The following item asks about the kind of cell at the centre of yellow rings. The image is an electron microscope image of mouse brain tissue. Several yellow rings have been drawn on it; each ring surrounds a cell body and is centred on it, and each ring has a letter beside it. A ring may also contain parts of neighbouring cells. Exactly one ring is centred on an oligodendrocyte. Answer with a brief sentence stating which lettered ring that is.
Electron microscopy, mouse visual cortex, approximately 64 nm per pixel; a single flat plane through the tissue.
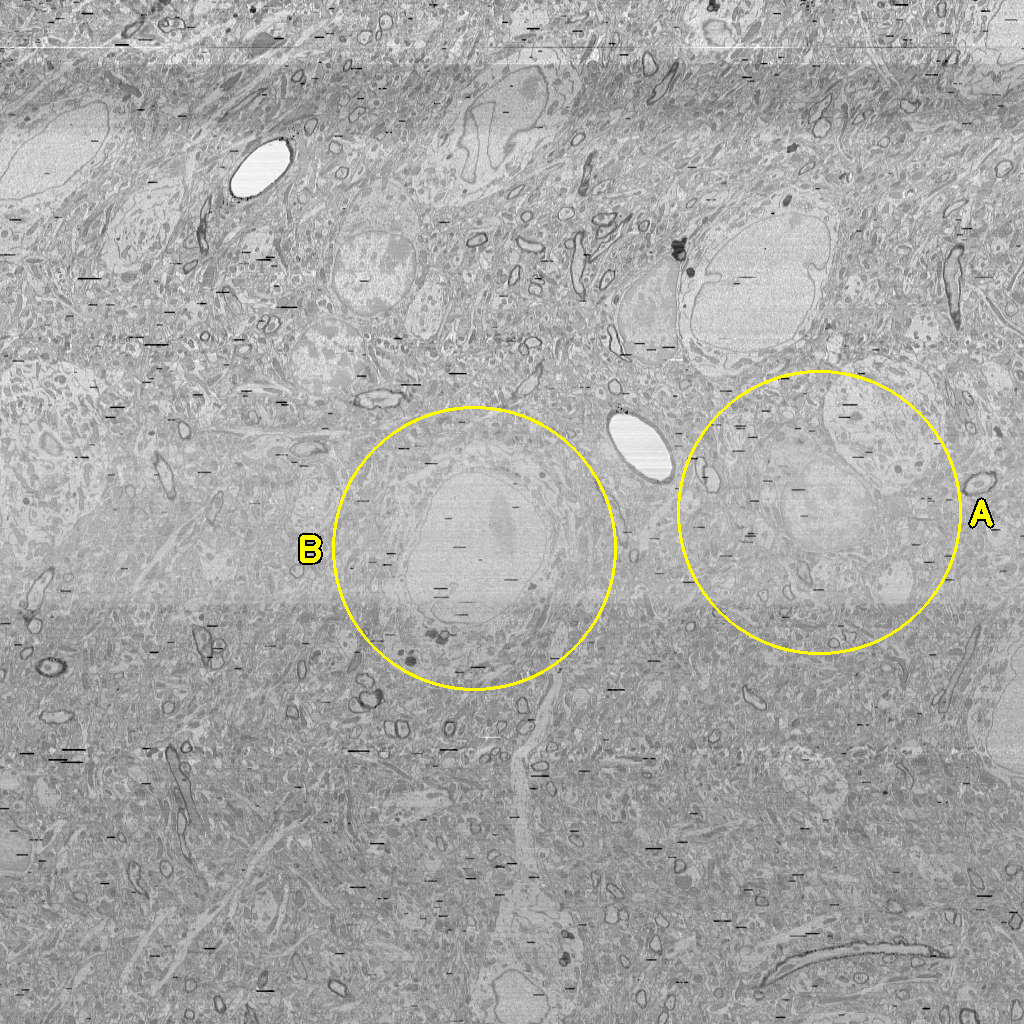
That is ring A.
